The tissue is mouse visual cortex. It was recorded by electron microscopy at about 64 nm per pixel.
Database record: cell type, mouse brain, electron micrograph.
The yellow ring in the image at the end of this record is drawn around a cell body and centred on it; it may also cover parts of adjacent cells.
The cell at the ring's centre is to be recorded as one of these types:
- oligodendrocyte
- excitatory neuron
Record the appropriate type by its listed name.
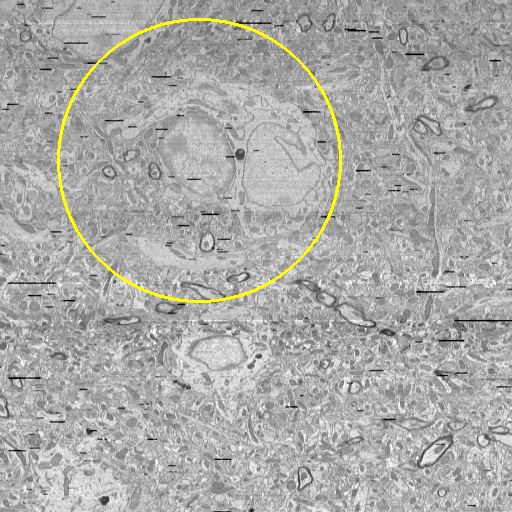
oligodendrocyte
